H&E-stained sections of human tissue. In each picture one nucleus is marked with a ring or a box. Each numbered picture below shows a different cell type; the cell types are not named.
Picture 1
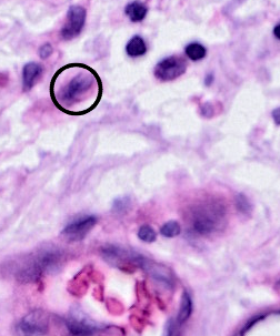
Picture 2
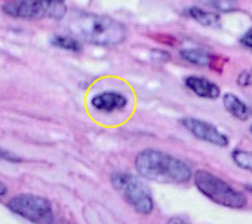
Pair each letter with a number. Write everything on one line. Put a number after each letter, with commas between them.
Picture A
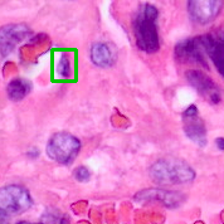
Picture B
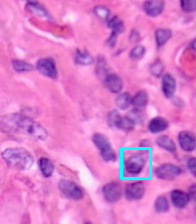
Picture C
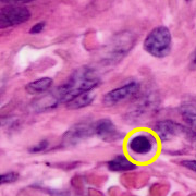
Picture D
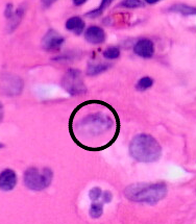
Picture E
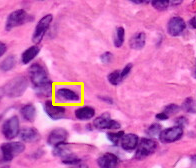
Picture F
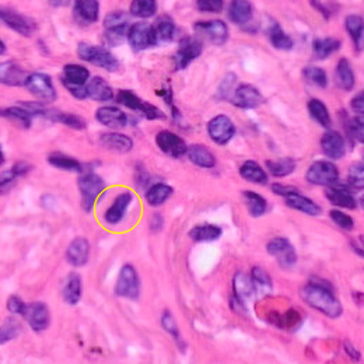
A 1, B 2, C 2, D 1, E 2, F 2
